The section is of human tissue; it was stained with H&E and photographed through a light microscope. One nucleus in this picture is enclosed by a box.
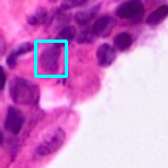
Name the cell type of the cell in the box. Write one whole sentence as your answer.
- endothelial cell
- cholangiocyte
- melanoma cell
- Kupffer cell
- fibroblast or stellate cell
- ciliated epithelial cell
As for its identity, the cell in the box is a ciliated epithelial cell.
